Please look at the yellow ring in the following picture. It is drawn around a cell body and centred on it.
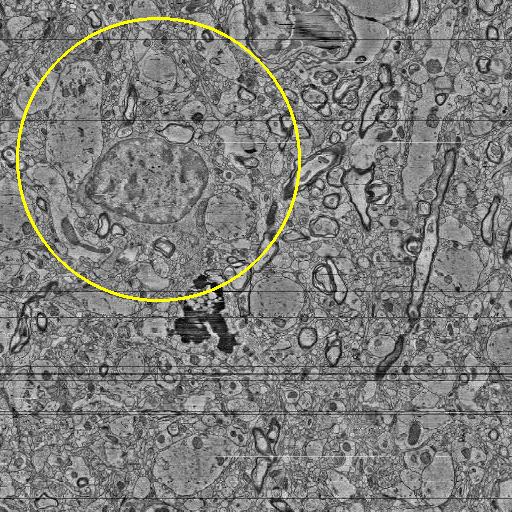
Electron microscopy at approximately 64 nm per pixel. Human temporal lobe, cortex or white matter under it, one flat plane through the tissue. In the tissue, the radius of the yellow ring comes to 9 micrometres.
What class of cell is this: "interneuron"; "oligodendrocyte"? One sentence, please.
The ring surrounds the cell body of an oligodendrocyte.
